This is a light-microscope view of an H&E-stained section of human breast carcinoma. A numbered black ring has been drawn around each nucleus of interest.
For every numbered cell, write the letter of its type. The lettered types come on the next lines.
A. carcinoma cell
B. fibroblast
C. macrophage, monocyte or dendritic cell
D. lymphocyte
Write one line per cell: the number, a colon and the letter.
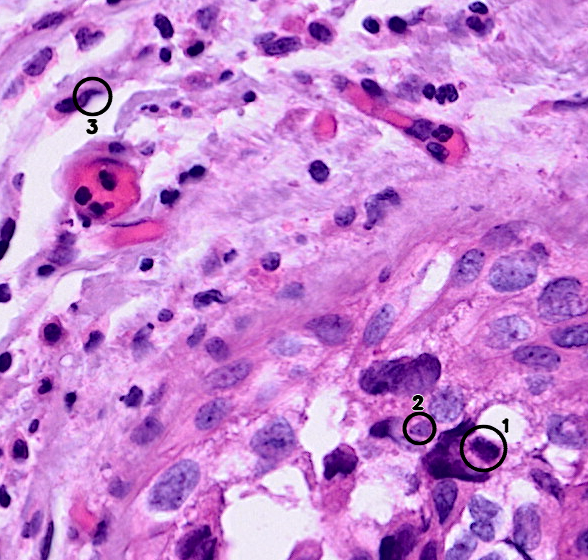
1: A
2: A
3: B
